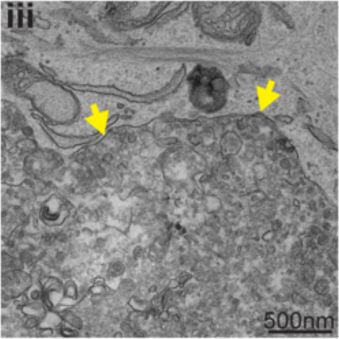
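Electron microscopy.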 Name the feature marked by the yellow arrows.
partial membrane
